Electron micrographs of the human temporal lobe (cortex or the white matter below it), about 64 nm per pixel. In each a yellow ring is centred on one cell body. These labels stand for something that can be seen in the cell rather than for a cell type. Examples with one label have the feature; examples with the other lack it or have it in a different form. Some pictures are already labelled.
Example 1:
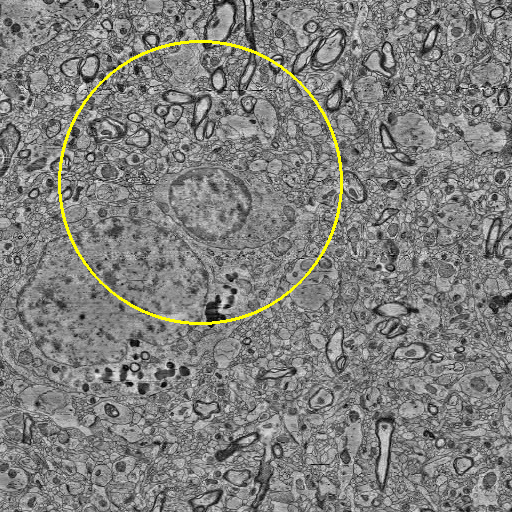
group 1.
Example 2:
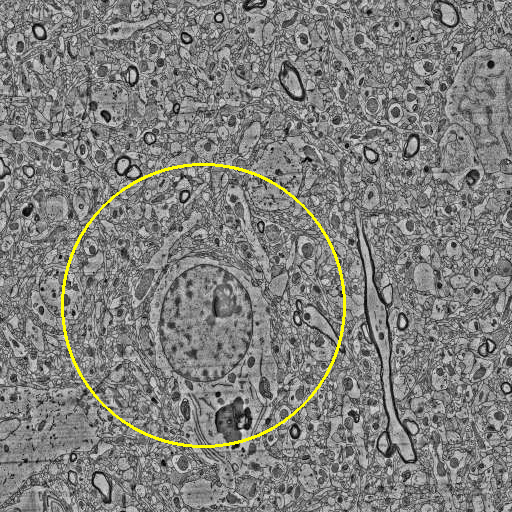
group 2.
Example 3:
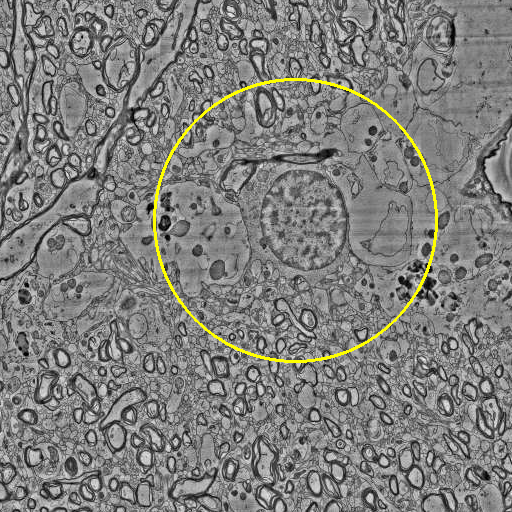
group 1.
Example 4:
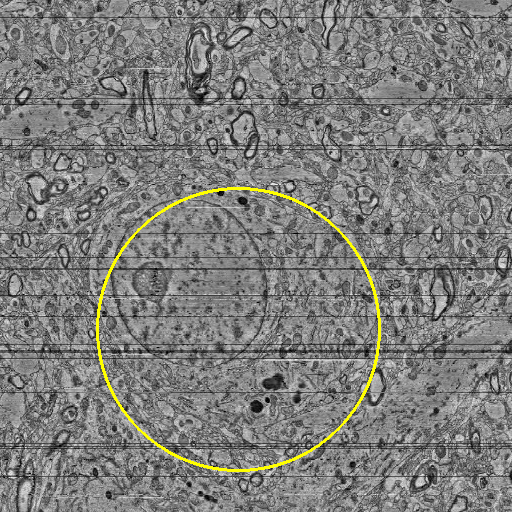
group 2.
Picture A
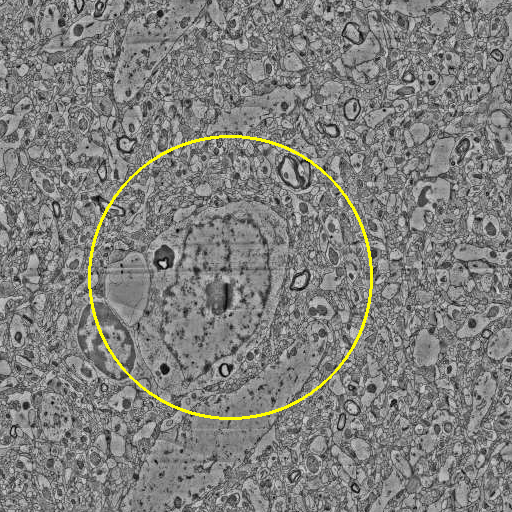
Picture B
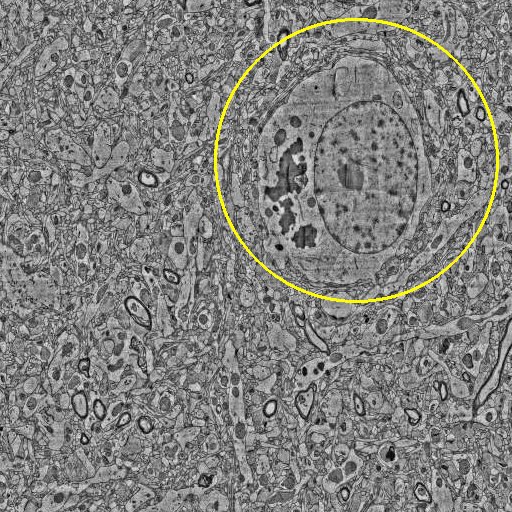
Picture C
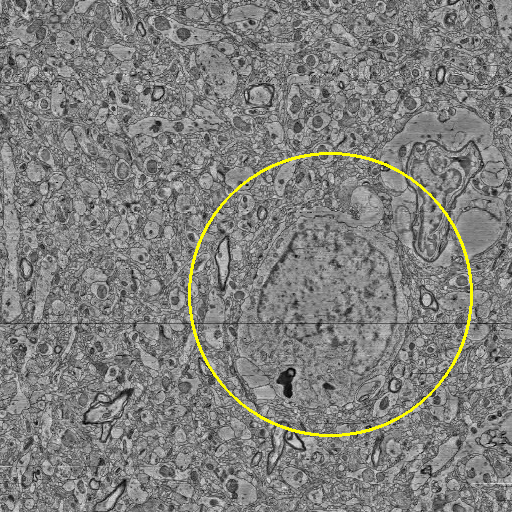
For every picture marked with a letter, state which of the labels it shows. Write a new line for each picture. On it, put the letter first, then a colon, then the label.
A: group 2.
B: group 2.
C: group 1.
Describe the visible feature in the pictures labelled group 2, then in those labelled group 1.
group 2, nucleolus seen; group 1, no nucleolus seen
